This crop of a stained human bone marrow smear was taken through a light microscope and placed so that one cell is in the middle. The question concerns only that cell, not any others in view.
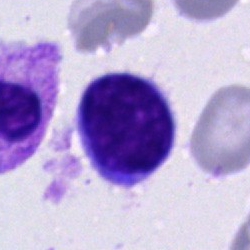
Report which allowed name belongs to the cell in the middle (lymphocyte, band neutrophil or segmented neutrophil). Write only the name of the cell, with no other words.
lymphocyte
